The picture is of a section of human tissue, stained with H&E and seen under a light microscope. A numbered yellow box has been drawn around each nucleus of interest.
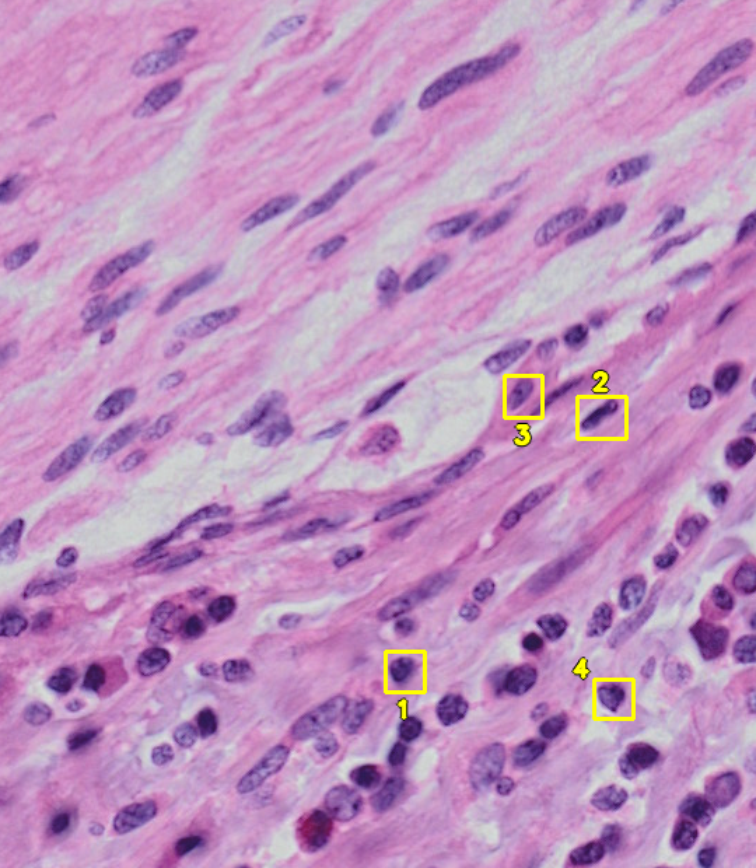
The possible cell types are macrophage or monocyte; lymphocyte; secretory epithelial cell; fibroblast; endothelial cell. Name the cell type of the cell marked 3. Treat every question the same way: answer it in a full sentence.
The numeral 3 marks an endothelial cell in this section.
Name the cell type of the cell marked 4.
The cell tagged with 4 in this tissue section is a lymphocyte.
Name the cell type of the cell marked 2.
Here, the cell given the number 2 is a lymphocyte.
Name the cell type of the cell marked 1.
In this section, the cell numbered 1 is a lymphocyte.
